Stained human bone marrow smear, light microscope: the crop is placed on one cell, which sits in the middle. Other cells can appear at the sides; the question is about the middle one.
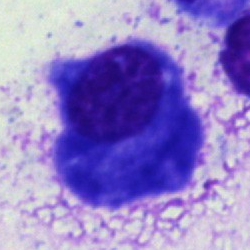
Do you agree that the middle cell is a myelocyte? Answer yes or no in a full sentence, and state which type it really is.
No, the central cell should be identified as a plasma cell, not as a myelocyte.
